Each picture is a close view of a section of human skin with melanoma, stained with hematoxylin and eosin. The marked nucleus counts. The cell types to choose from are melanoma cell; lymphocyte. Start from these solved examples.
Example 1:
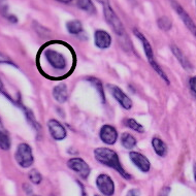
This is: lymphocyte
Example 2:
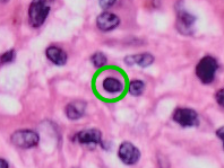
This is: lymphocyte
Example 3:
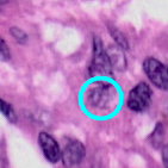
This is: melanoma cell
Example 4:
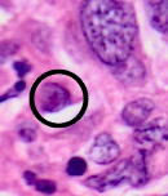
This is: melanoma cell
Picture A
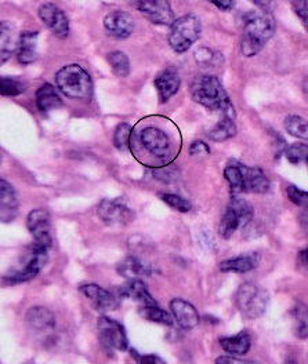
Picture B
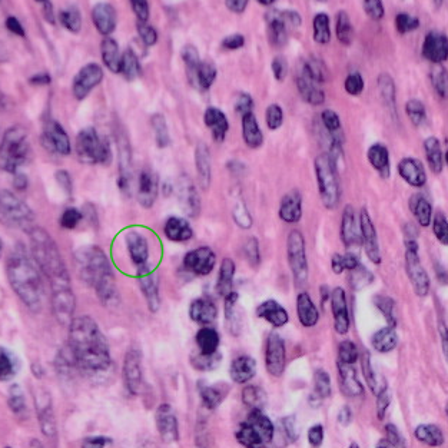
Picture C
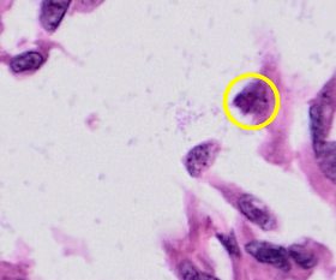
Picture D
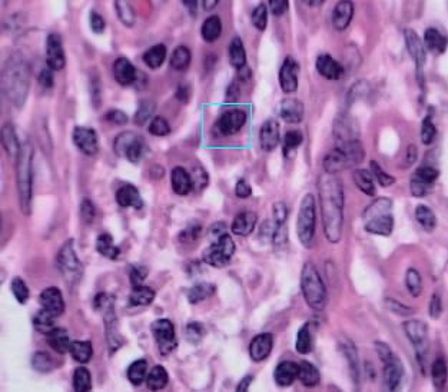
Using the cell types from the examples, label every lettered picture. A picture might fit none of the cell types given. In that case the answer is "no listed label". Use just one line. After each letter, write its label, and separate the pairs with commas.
A melanoma cell, B lymphocyte, C melanoma cell, D no listed label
